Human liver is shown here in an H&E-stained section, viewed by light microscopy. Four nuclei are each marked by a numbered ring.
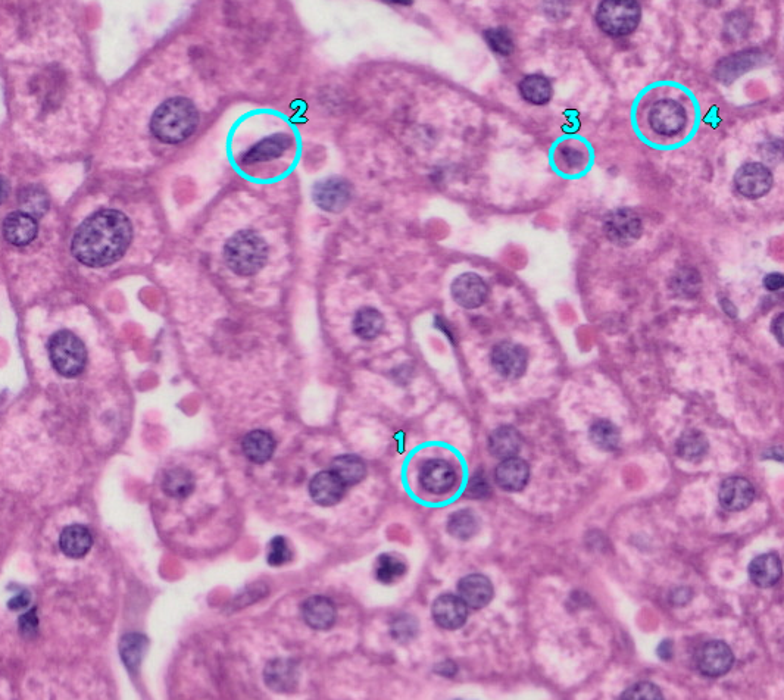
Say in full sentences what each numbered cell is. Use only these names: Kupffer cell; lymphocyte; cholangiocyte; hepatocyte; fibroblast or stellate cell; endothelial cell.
Cell 1 is a hepatocyte, cell 2 is a Kupffer cell, cell 3 is a fibroblast or stellate cell and cell 4 is a hepatocyte.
